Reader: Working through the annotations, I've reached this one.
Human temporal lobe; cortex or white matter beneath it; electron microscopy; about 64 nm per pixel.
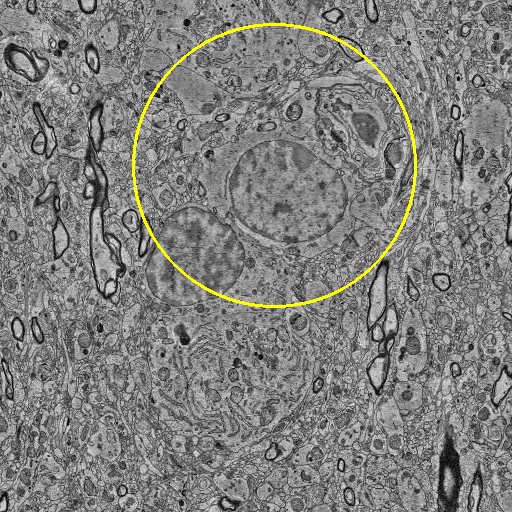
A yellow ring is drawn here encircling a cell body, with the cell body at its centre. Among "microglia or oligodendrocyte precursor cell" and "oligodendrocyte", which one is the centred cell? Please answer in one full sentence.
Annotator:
The cell body at the centre of the yellow ring in this image belongs to a microglial cell or oligodendrocyte precursor cell.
